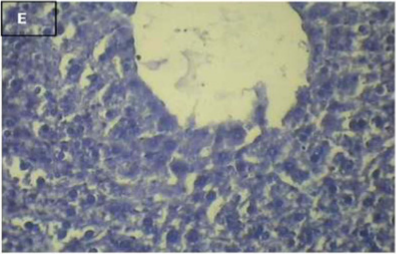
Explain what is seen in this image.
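Liver parenchyma of hepatocytes around a central vein, whose wide clear lumen occupies the upper middle of the field. The hepatocytes are closely packed, with blue-purple nuclei, and are separated by narrow pale clefts of sinusoidal spaces.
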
